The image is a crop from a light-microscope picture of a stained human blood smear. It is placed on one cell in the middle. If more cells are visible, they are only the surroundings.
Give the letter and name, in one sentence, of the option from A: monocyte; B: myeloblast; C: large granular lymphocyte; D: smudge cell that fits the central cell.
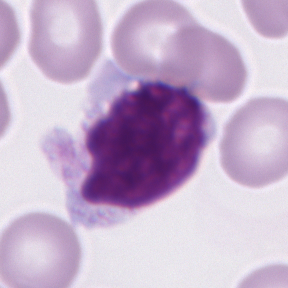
As the central cell is a large granular lymphocyte, option C is correct.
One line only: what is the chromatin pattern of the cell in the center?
Just so you know, its chromatin is coarsely clumped.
